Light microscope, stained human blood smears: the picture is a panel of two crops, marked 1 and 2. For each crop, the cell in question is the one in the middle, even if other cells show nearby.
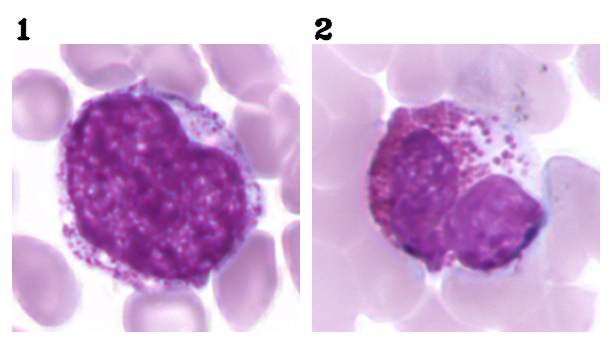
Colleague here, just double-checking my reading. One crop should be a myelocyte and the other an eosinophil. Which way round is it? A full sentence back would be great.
Placed in the middle of crop 1 is a myelocyte, and in the middle of crop 2, an eosinophil.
